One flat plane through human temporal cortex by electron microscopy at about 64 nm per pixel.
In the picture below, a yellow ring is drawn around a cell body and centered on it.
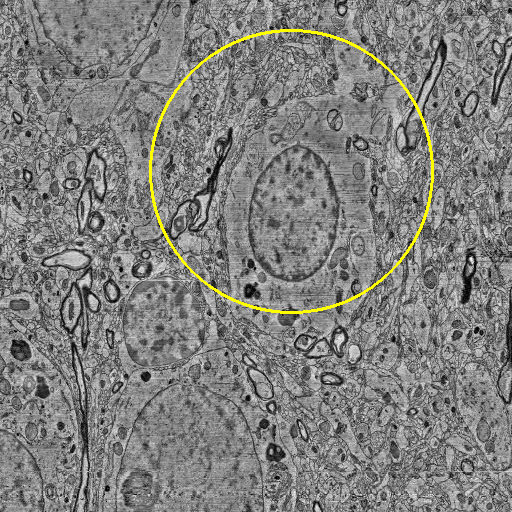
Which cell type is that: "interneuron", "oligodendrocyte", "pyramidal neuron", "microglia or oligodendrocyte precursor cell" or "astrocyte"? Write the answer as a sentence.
The cell centered in the ring is an astrocyte.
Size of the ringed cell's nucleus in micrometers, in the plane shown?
Clearly longer than it is wide in this plane, the nucleus measures roughly 9 by 6 micrometres.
